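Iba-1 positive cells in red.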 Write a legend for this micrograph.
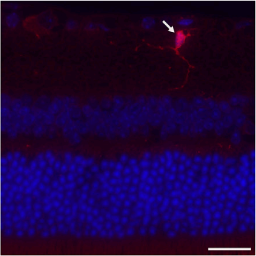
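A retinal section showing a single microglial cell in red near the inner surface, above bands of blue nuclei. The cell has a small bright body and long, thin processes trailing away from it. Below, the blue nuclei form layered bands: a middle band of moderately packed nuclei and a thick lower band of small, tightly packed round nuclei, with pale, nucleus-poor layers between them. The rest of the tissue shows only faint diffuse red background, so the microglial cell stands alone among the layered neural cells.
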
